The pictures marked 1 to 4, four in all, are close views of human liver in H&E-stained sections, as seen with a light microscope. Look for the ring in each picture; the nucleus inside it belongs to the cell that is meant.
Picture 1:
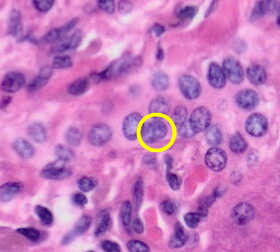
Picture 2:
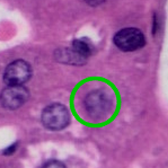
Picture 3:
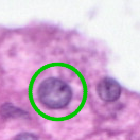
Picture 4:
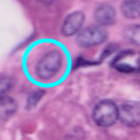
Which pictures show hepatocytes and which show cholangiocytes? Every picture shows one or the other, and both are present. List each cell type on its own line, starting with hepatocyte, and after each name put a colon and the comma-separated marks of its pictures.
hepatocyte: 2, 3
cholangiocyte: 1, 4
